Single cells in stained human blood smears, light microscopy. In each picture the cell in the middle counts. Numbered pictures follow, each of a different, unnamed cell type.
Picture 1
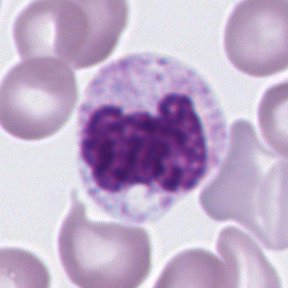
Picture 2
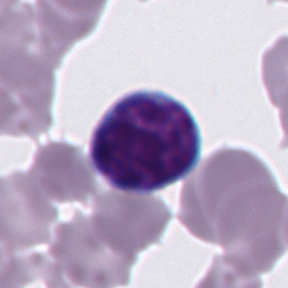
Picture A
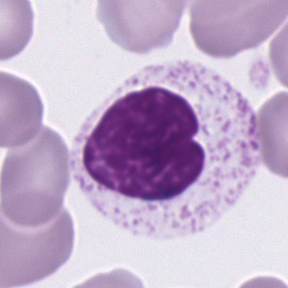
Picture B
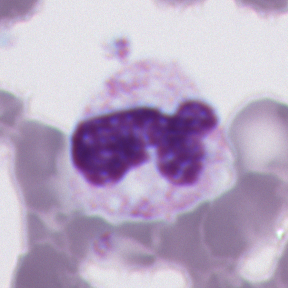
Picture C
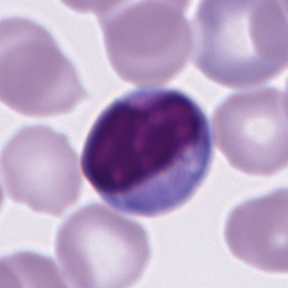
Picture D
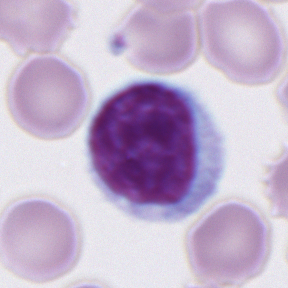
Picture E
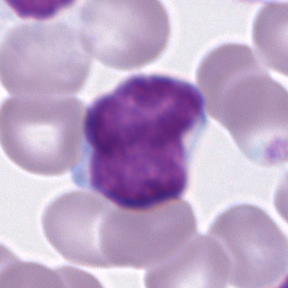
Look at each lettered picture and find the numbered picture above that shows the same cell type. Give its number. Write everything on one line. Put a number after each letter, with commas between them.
A 1, B 1, C 2, D 2, E 2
